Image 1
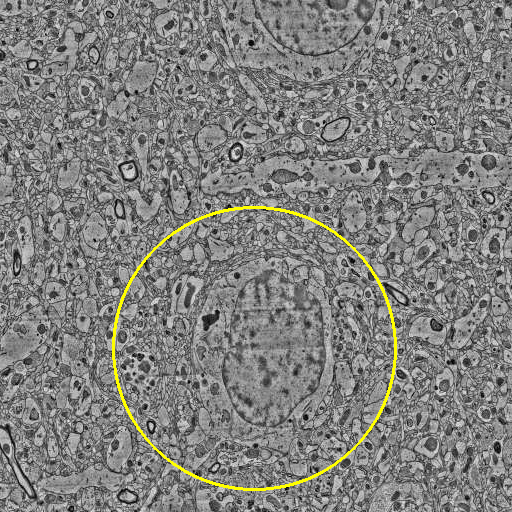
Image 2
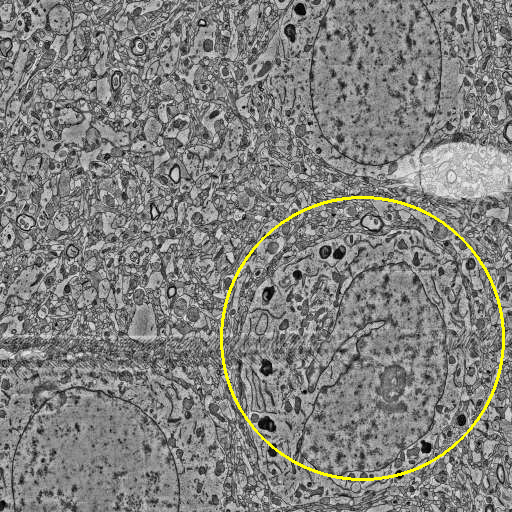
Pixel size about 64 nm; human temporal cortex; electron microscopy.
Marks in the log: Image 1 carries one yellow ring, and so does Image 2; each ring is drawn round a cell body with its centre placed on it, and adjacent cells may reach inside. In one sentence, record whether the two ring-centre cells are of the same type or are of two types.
The two cells at the ring centres, one in each image, are of the same type.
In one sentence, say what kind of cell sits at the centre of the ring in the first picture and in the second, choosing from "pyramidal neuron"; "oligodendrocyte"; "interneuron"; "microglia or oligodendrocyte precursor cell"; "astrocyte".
Each of the two pictures has an interneuron at the ring centre.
